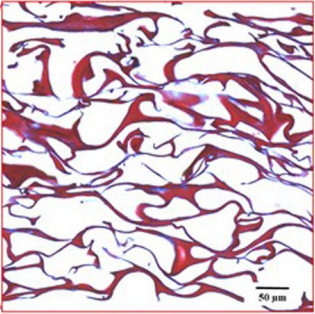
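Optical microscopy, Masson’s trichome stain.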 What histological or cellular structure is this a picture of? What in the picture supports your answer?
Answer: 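Mesh-like structure. Red-stained bands interlace and overlap across the field. Open white spaces separate the bands, giving a net-like pattern.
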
